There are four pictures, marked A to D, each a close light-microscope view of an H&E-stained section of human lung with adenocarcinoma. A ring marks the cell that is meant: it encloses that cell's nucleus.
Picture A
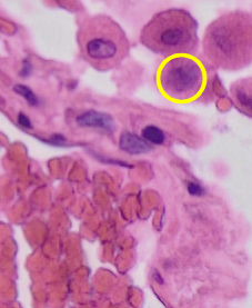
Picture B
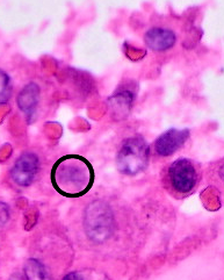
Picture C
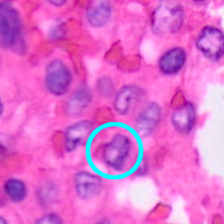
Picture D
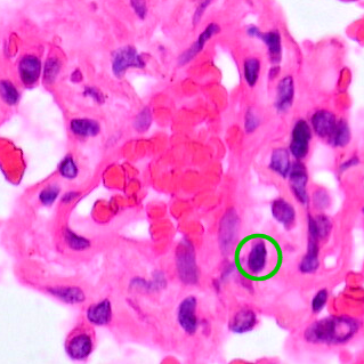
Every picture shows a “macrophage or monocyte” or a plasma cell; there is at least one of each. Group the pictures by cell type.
A: macrophage or monocyte
B: macrophage or monocyte
C: macrophage or monocyte
D: plasma cell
